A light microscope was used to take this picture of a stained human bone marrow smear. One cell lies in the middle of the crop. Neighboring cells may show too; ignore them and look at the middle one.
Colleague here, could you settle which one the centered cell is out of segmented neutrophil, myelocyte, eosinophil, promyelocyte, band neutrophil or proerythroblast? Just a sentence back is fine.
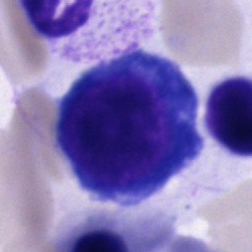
The cell of interest, located centrally, is a proerythroblast.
